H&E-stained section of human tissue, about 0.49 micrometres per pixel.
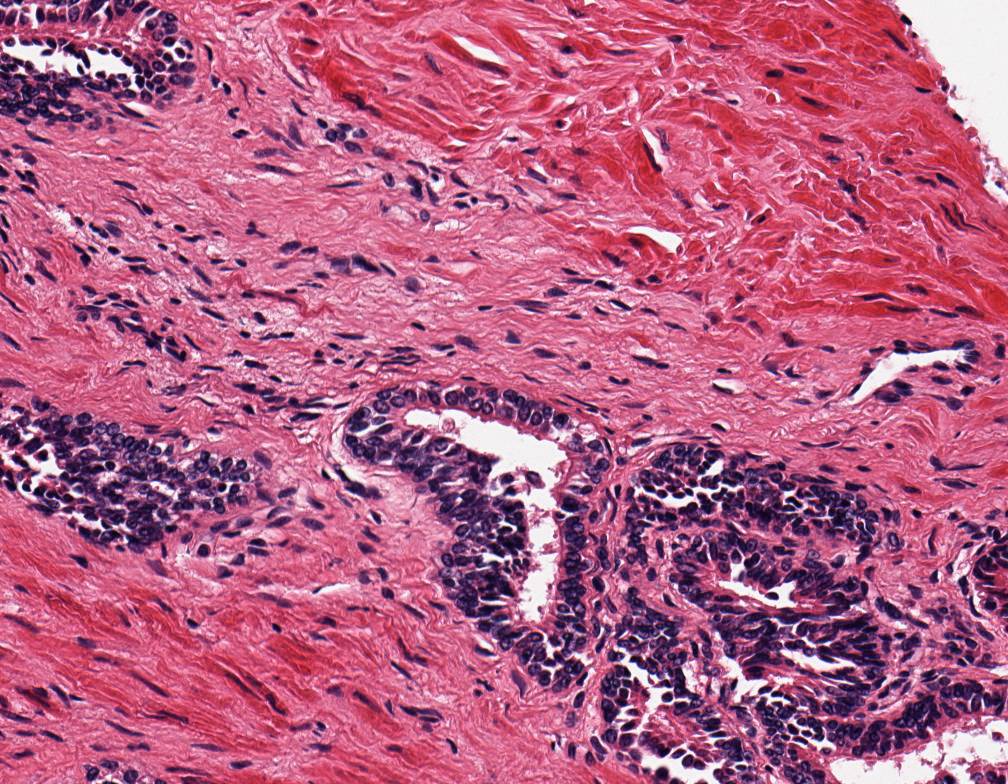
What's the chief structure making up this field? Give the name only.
fibromuscular stroma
